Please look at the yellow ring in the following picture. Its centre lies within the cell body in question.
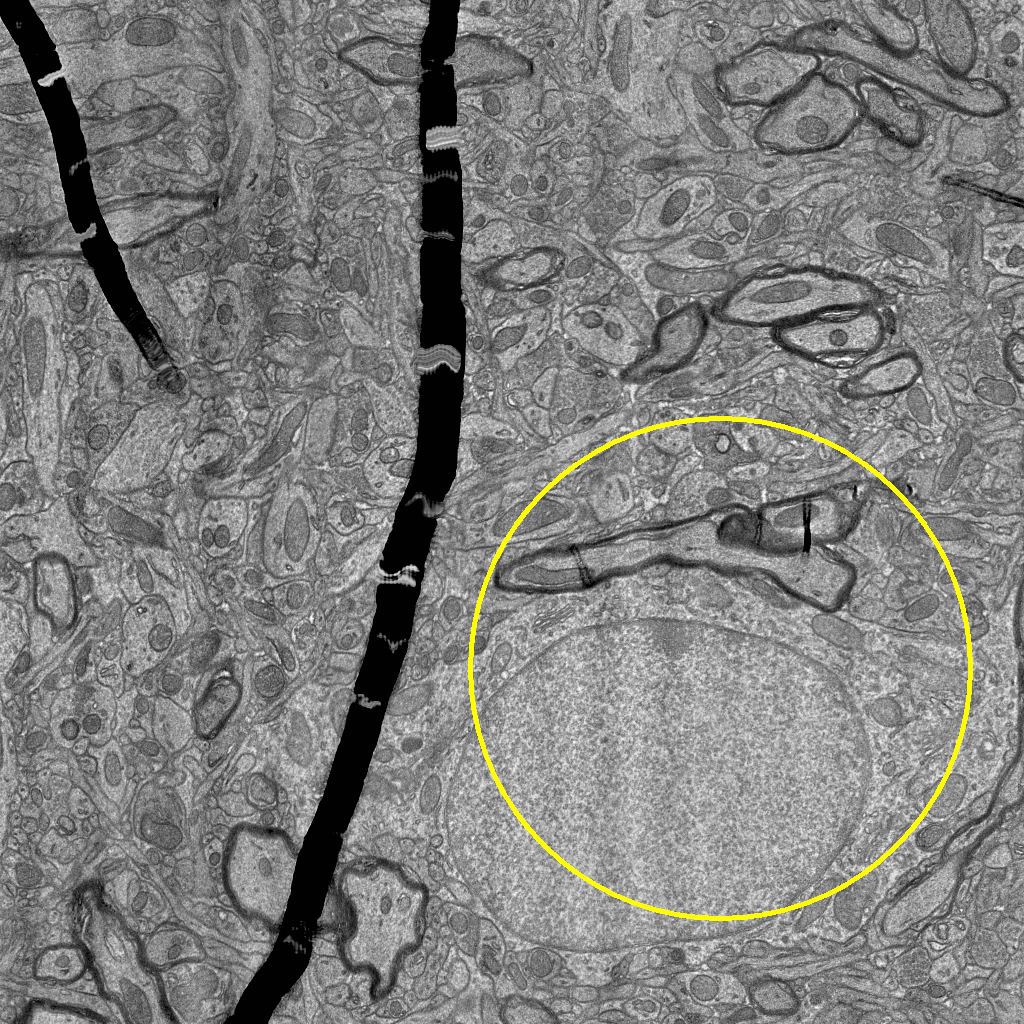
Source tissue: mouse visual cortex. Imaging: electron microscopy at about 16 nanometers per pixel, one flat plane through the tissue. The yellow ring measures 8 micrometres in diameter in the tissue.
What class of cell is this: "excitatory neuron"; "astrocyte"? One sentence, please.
The centre of the ring lies in the cell body of an astrocyte.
